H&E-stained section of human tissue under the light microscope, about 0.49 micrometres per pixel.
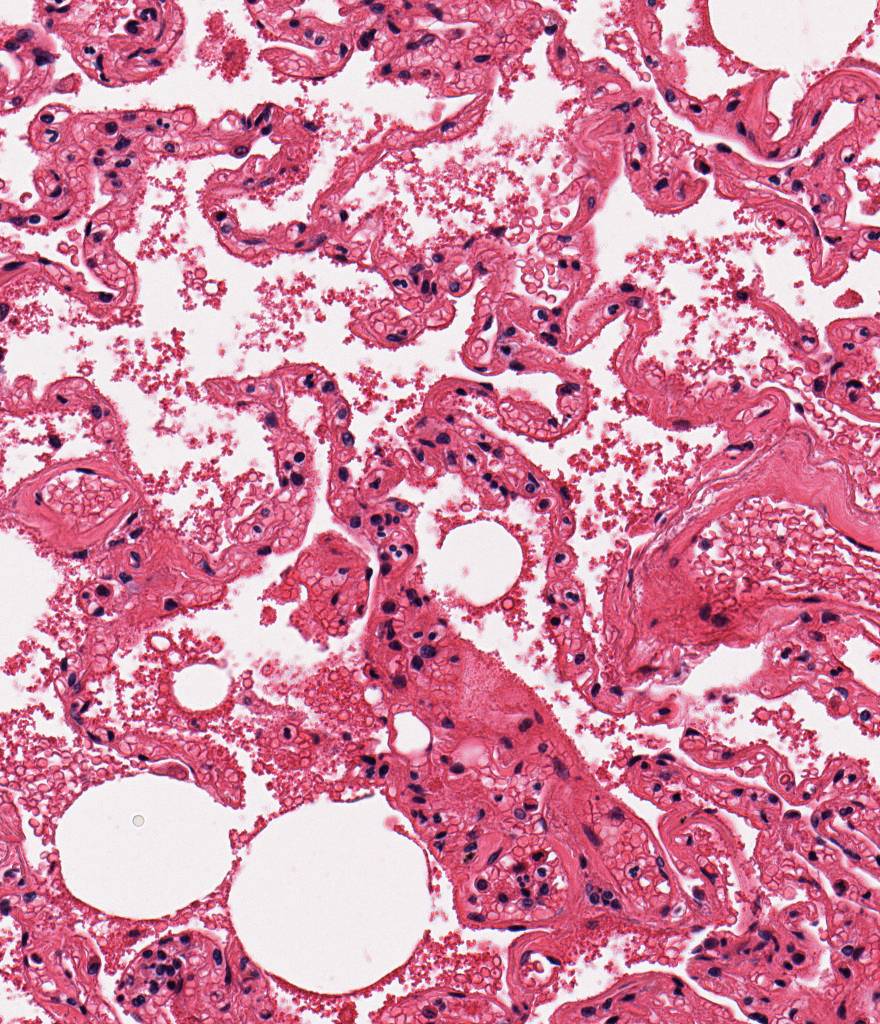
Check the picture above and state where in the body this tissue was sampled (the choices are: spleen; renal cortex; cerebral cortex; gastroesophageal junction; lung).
lung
